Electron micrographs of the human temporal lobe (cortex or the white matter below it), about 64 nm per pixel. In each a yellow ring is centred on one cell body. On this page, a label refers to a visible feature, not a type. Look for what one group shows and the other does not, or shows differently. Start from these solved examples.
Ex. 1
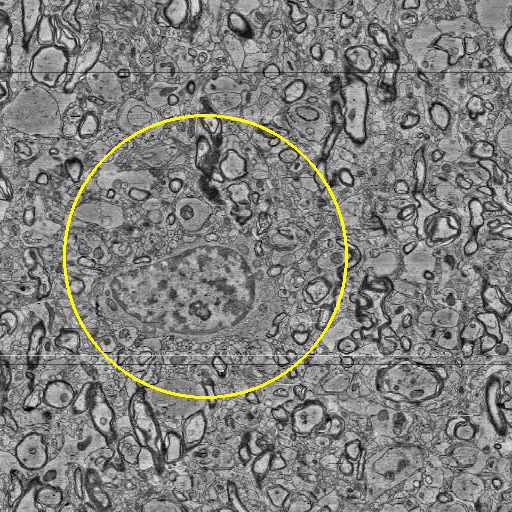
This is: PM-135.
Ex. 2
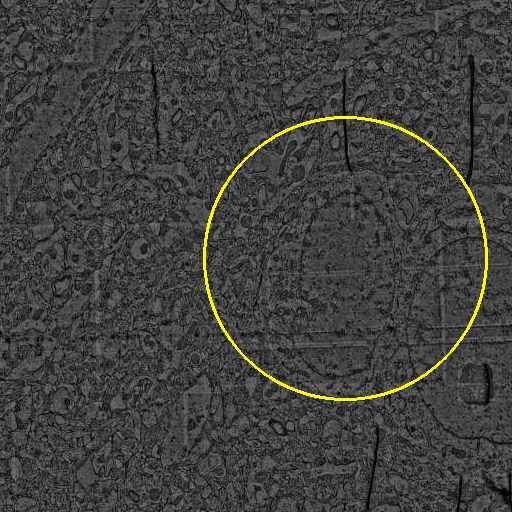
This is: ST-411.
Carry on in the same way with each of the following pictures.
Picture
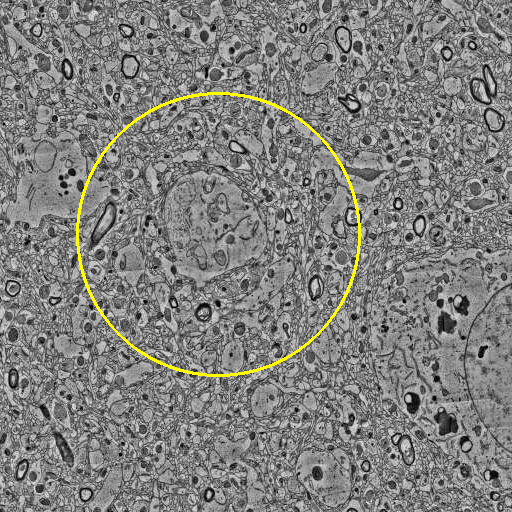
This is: ST-411.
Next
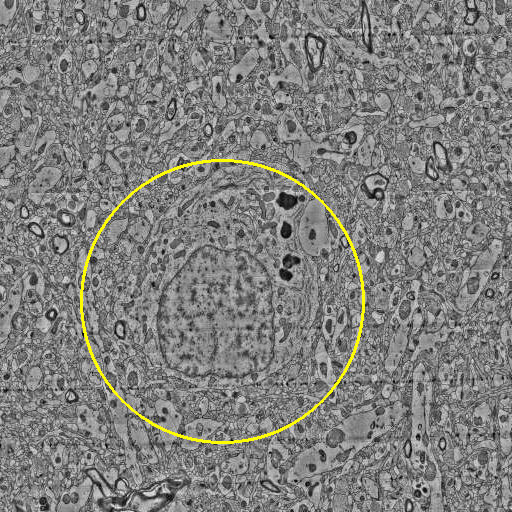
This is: ST-411.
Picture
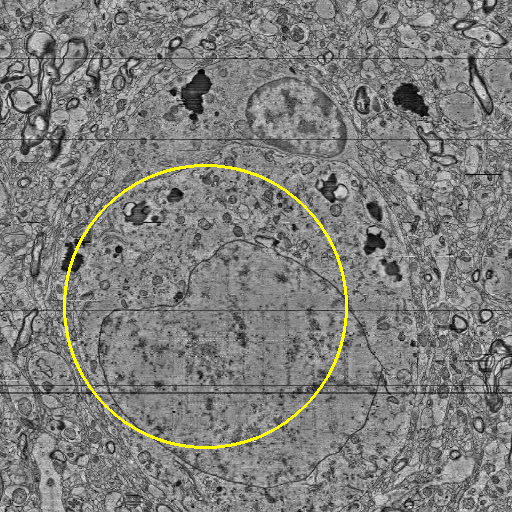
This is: ST-411.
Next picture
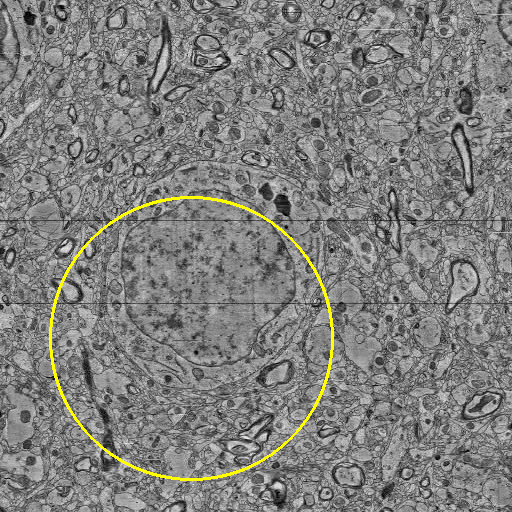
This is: ST-411.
